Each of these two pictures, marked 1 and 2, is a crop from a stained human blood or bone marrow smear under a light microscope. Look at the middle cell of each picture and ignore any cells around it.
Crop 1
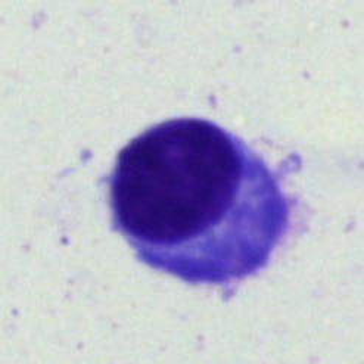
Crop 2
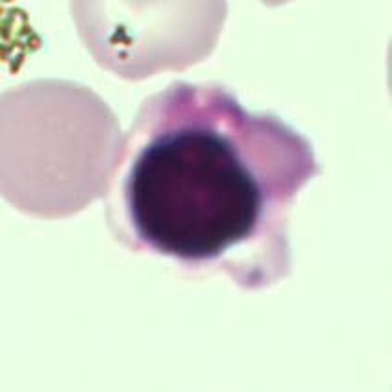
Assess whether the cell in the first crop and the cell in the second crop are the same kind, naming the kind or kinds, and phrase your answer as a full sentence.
No, crop 2 shows a normoblast, and crop 1 shows a plasma cell.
